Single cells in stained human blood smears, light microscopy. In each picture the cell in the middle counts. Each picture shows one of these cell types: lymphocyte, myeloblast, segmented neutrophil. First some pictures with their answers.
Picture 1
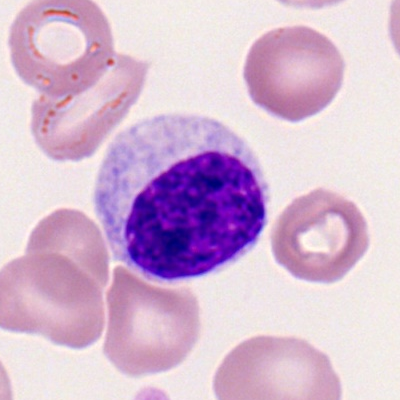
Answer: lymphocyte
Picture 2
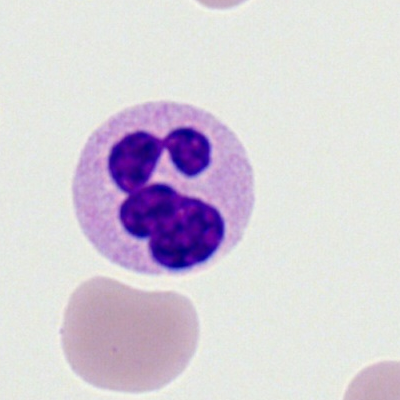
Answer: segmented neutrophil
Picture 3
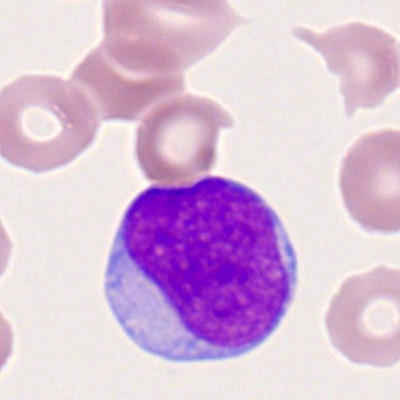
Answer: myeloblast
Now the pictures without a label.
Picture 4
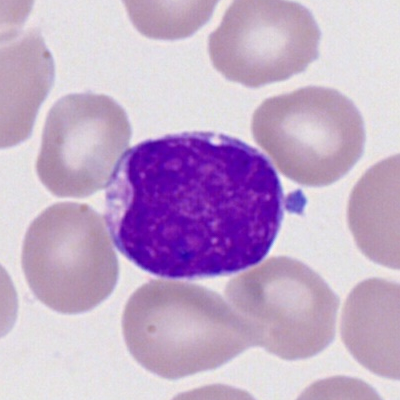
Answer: myeloblast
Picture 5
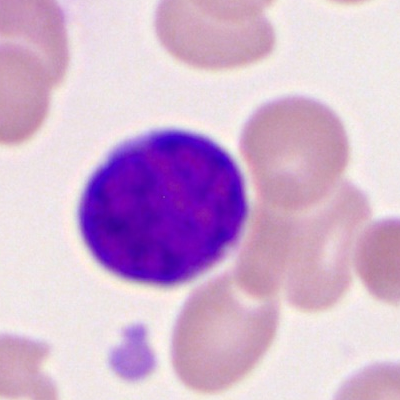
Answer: myeloblast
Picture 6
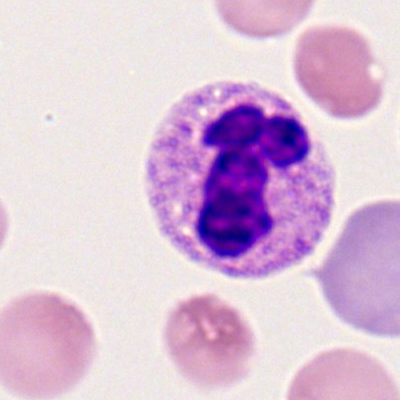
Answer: segmented neutrophil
